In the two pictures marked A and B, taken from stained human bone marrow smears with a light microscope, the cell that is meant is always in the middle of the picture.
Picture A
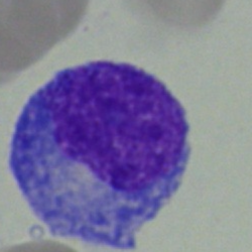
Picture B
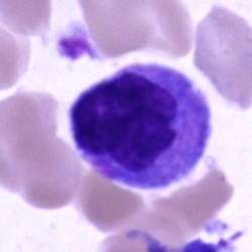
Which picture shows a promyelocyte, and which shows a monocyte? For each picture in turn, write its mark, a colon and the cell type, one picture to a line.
A: promyelocyte
B: monocyte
